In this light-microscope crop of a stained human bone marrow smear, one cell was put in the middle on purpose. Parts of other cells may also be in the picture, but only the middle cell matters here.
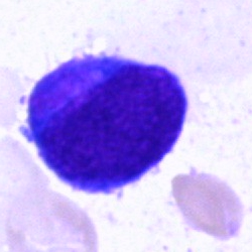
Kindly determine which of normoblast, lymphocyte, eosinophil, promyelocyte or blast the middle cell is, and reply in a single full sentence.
The middle position in this crop is taken by a blast.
